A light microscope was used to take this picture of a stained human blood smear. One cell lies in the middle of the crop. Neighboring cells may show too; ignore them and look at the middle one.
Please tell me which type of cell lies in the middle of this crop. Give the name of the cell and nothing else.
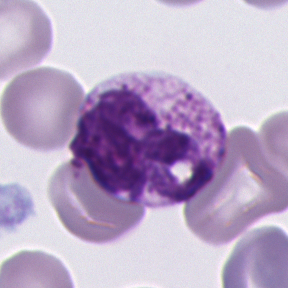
basophil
